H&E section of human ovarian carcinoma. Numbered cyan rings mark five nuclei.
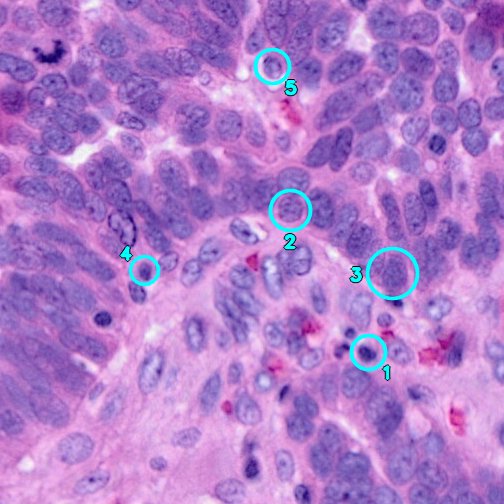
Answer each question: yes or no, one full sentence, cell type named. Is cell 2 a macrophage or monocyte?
No, the cell tagged 2 is a carcinoma cell, and not a macrophage or monocyte.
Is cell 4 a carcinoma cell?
No, cell 4 is not a carcinoma cell. It is a lymphocyte.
